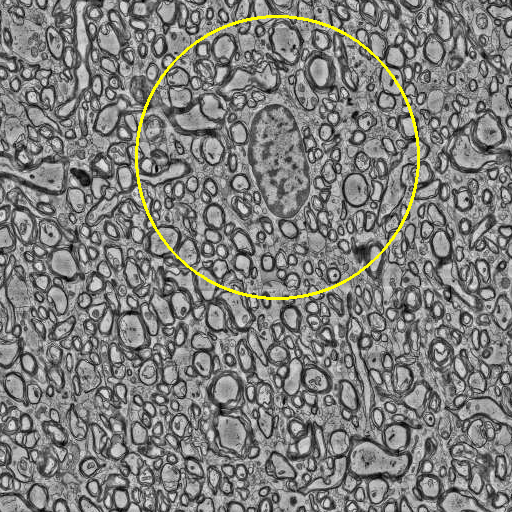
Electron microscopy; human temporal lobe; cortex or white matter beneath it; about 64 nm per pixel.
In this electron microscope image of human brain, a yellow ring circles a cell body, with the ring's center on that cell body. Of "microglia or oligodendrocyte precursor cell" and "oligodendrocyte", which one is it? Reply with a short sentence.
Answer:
It is a microglial cell or oligodendrocyte precursor cell at the center of the ring.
